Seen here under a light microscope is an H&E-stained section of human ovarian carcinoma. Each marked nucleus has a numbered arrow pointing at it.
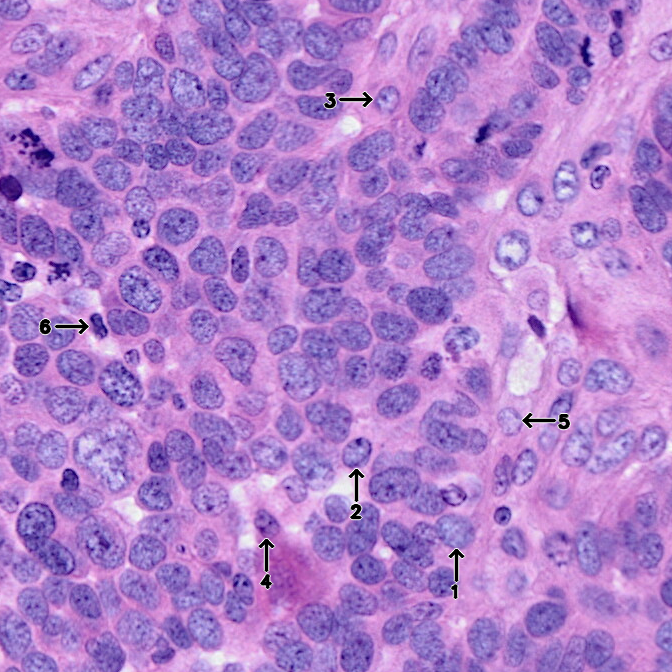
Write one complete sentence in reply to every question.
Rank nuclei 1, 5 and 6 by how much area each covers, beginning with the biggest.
By area, largest first, they run 1, 5, 6.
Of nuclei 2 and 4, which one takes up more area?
Nucleus 2 is larger, with an area about 1.5 times that of nucleus 4.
